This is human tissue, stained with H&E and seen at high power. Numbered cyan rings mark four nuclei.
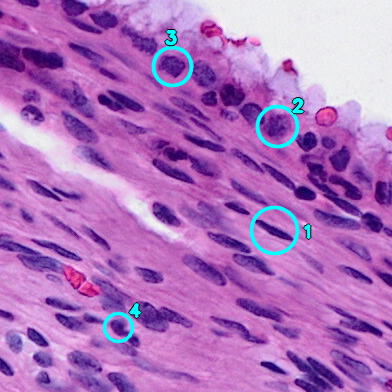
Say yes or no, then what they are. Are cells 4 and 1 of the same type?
No, cell 4 is a lymphocyte, whereas cell 1, for its part, is a fibroblast.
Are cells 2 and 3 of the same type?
Yes, in this tissue section, cells 2 and 3 are both secretory epithelial cells.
